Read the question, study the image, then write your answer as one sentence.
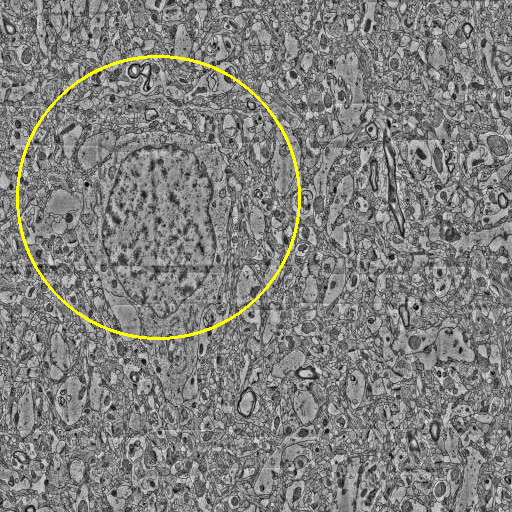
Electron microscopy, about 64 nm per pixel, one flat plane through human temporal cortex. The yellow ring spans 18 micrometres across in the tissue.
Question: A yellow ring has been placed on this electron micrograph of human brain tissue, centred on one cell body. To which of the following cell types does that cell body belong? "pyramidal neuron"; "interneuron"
That cell body belongs to an interneuron.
